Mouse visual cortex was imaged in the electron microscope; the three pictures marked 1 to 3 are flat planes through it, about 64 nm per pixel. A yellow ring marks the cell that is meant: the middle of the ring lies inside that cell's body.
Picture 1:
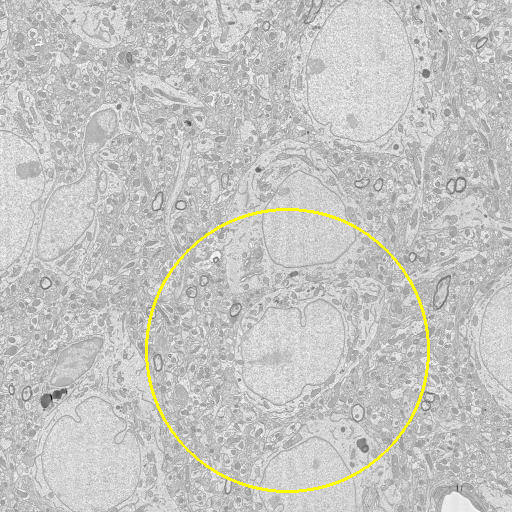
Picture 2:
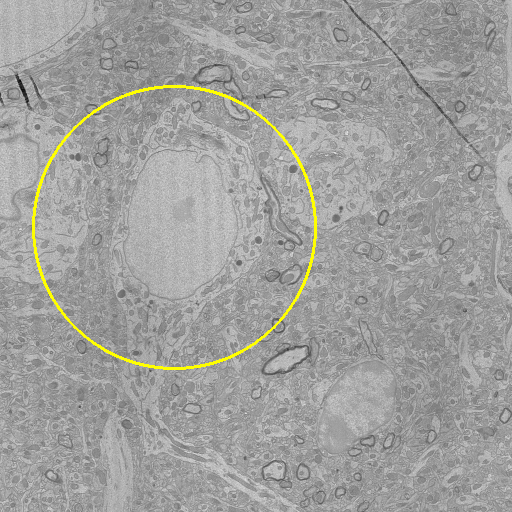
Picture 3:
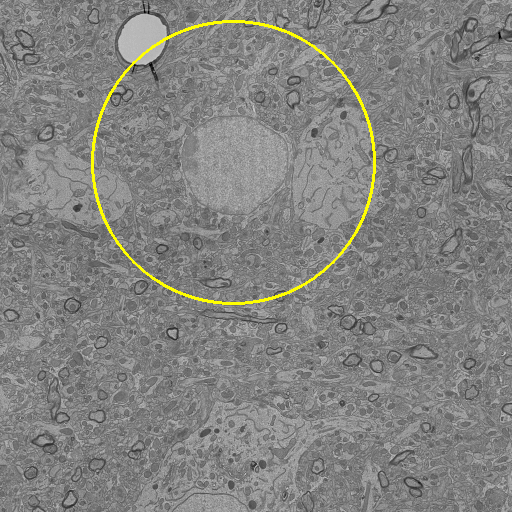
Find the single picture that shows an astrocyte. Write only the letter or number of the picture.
3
